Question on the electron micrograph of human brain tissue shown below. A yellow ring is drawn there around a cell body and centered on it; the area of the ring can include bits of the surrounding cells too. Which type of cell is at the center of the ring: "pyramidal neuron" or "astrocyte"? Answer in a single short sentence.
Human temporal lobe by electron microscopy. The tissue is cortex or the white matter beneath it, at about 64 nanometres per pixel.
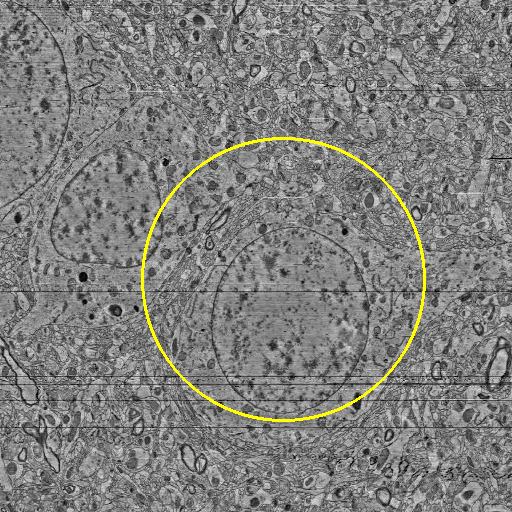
The ring is centered on a pyramidal neuron.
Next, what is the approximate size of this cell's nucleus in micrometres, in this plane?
In this plane the nucleus is about 12 micrometres by 10.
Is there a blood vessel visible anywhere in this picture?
No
